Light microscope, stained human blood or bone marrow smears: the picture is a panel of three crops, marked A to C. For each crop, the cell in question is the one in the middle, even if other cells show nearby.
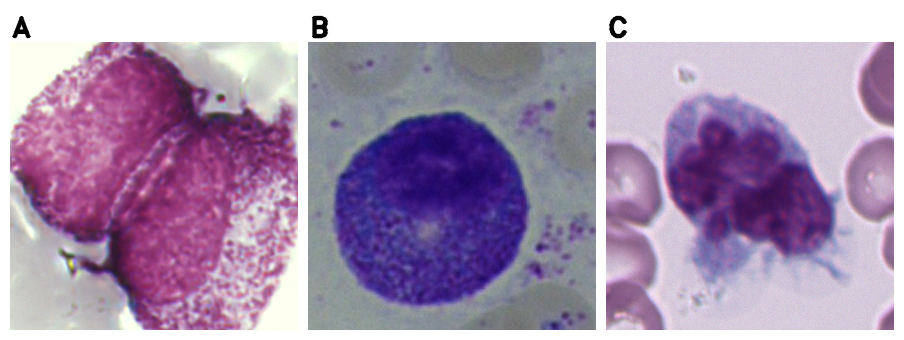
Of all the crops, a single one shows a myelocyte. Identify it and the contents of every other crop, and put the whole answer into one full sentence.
Here crop A shows a myelocyte, while crop B is a promyelocyte and crop C is a monocyte.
